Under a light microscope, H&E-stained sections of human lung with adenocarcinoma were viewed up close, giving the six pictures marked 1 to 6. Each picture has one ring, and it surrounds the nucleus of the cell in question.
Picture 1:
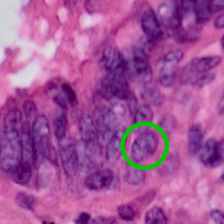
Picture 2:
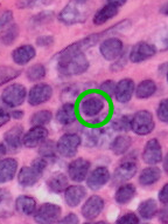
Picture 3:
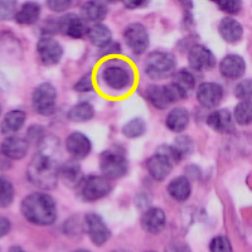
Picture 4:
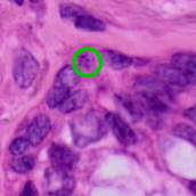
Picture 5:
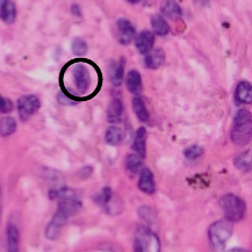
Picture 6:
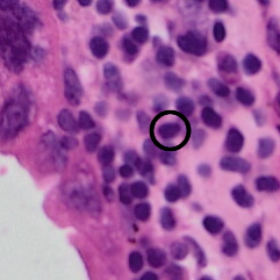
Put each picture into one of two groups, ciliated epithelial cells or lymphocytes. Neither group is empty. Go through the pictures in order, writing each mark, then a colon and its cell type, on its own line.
1: ciliated epithelial cell
2: lymphocyte
3: lymphocyte
4: ciliated epithelial cell
5: lymphocyte
6: lymphocyte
